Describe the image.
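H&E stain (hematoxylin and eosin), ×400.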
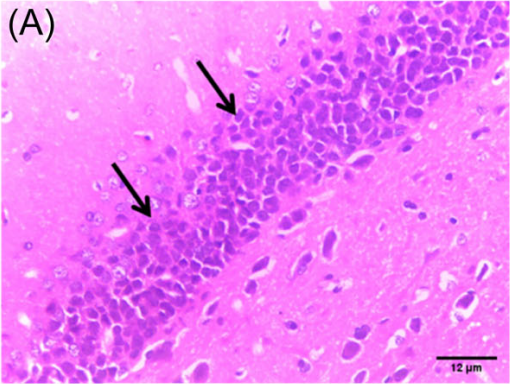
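A broad, densely packed band of pyramidal neurons runs diagonally across the field. The neurons have purple-stained cell bodies, rounded to somewhat triangular, lying closely side by side in several rows. Above and below the band lies pale pink, finely textured neuropil with scattered small cells and clear spaces around some of them. The band is compact and evenly stained, with its cells arranged in an orderly way.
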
